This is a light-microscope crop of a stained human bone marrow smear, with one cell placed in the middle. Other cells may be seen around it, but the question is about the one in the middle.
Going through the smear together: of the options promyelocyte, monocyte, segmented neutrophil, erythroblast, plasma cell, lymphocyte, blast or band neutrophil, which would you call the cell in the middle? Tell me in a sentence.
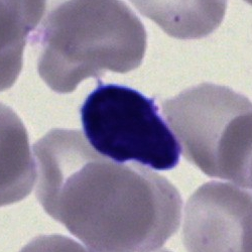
The cell of interest, located centrally, is a lymphocyte.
